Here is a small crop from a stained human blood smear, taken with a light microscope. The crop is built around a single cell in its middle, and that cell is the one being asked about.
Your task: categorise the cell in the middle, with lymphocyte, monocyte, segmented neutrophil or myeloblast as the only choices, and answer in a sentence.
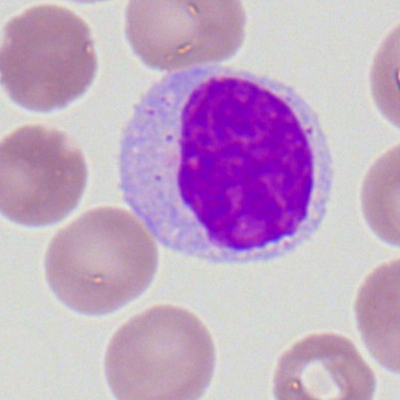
The crop centres on a single cell, and that cell is a lymphocyte.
